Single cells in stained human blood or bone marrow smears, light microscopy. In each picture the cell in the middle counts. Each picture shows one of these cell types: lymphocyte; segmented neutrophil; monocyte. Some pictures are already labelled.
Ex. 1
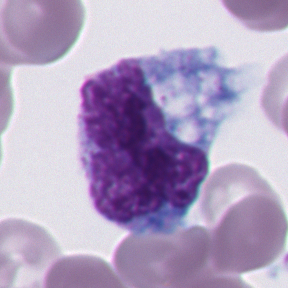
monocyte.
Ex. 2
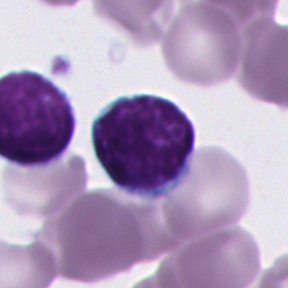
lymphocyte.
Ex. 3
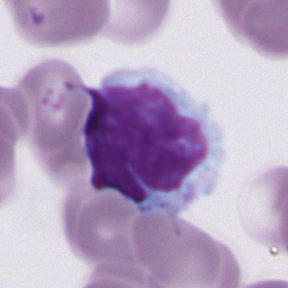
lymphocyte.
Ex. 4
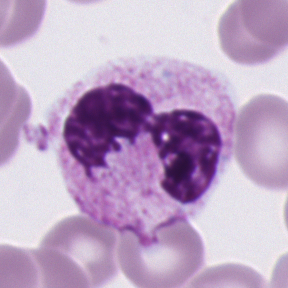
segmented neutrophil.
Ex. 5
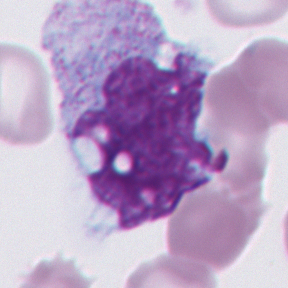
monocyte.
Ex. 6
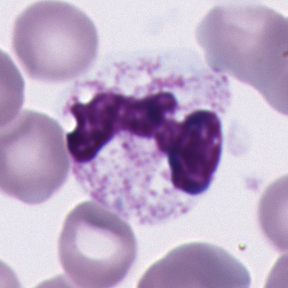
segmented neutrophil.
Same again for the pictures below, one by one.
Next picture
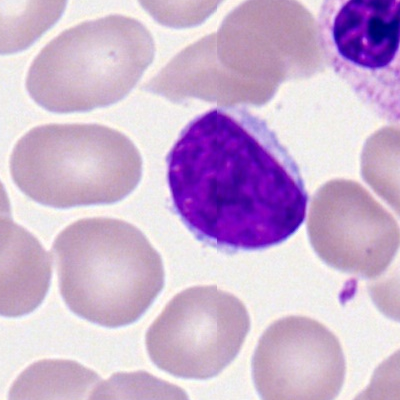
lymphocyte.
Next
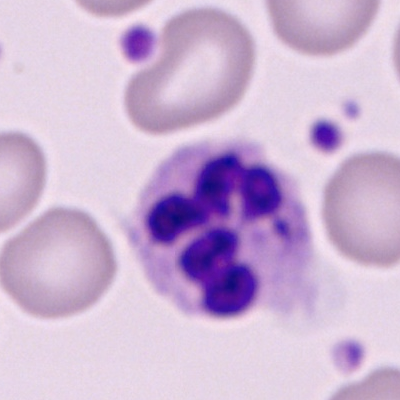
segmented neutrophil.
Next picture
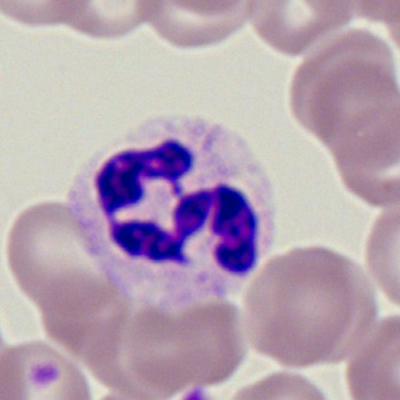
segmented neutrophil.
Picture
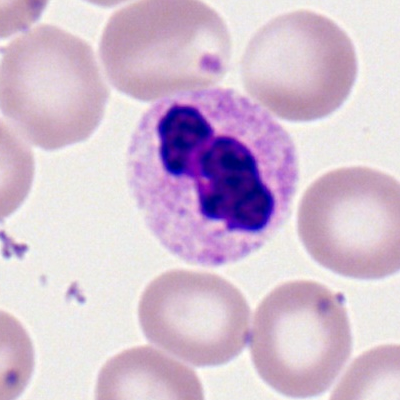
segmented neutrophil.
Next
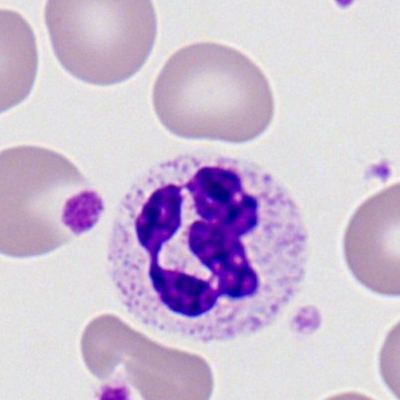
segmented neutrophil.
